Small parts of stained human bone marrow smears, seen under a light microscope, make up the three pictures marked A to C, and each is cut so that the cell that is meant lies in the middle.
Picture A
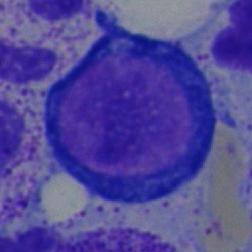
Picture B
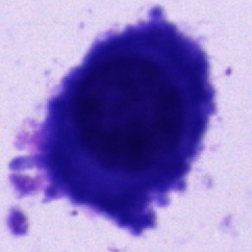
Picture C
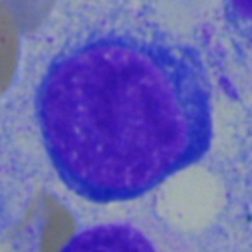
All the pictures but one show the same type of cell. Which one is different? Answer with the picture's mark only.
B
